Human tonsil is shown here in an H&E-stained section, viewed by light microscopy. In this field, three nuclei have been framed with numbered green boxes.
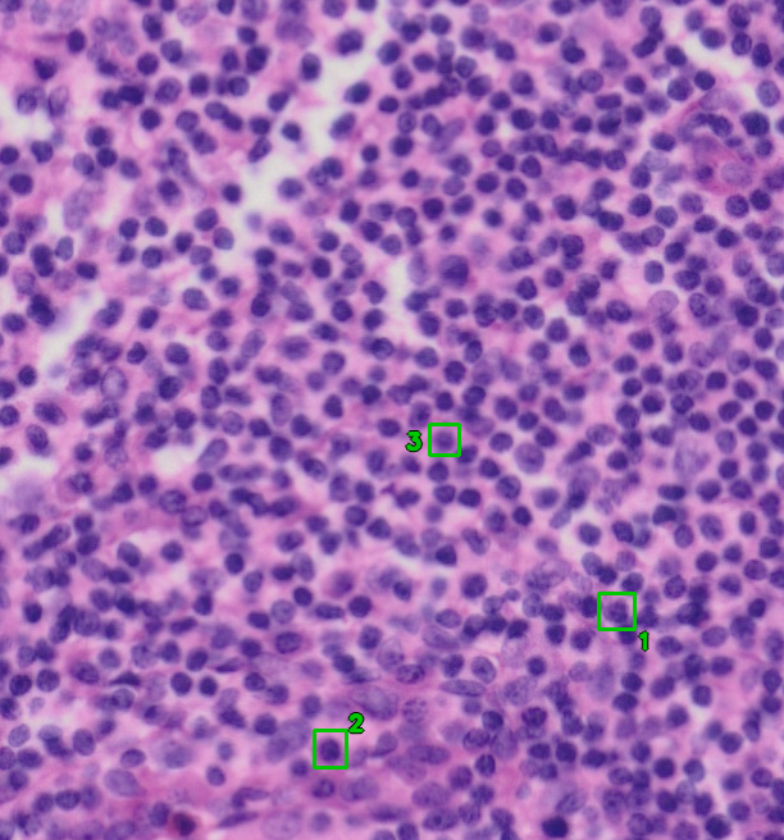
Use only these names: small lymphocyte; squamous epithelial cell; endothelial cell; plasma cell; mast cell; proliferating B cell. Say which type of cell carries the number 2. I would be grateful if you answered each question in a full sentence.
The nucleus labelled 2 belongs to a plasma cell.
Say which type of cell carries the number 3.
Of the numbered cells, the one labelled 3 is a small lymphocyte.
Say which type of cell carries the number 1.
Recognised here as a small lymphocyte is the cell numbered 1.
